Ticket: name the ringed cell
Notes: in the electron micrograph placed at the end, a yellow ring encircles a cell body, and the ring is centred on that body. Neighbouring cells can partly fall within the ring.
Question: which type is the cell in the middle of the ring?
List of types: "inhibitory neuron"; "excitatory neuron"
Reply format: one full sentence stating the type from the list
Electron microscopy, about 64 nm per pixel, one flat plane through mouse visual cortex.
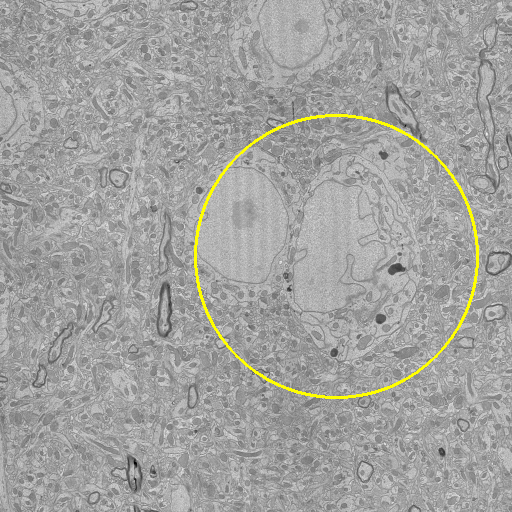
The cell sitting at the centre of the yellow ring is an inhibitory neuron.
